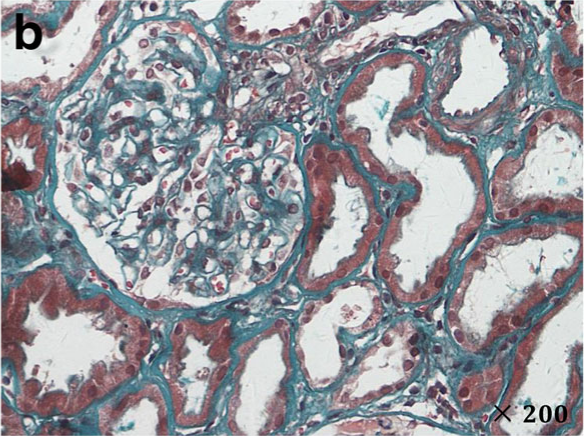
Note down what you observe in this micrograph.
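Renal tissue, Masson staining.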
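This is kidney cortex with a glomerulus surrounded by tubules, stained so that the tubular epithelium appears red-brown and connective tissue blue-green. The glomerulus sits within a thin blue-green Bowman's capsule, with a pale urinary space around its tuft of capillary loops. The tubules around it are lined by a single layer of cuboidal cells with red-brown cytoplasm and round nuclei, and many have wide, pale lumina. Between the tubules the interstitium is widened by blue-green fibrous tissue that wraps each tubule, a picture of interstitial fibrosis. Scattered small dark nuclei lie in this interstitial tissue.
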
